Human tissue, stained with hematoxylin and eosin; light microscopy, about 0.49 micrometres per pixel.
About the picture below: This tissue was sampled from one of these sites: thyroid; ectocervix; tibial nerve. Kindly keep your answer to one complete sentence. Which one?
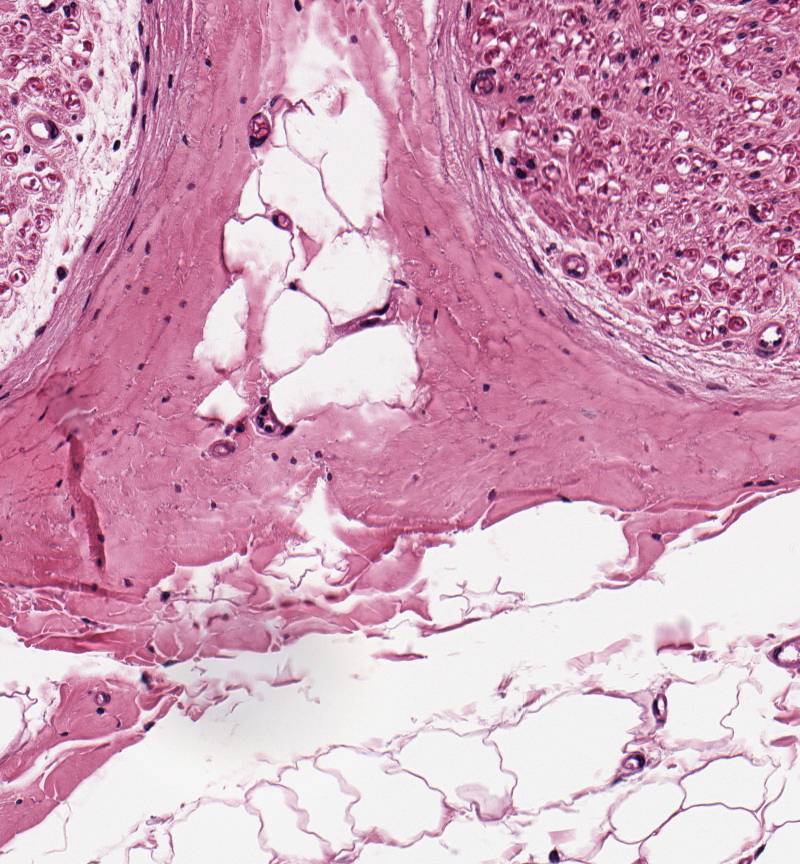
The site sampled for this tissue was the tibial nerve.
